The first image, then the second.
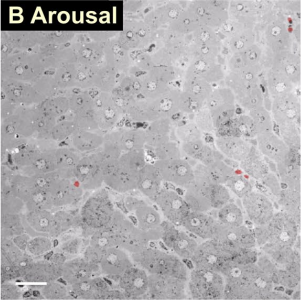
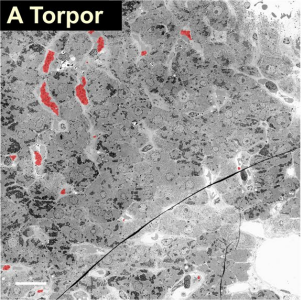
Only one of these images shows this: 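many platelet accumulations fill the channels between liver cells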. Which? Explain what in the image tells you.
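Second image: numerous red-marked elongated accumulations lie in the channels between liver cells.
Answer: the second image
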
